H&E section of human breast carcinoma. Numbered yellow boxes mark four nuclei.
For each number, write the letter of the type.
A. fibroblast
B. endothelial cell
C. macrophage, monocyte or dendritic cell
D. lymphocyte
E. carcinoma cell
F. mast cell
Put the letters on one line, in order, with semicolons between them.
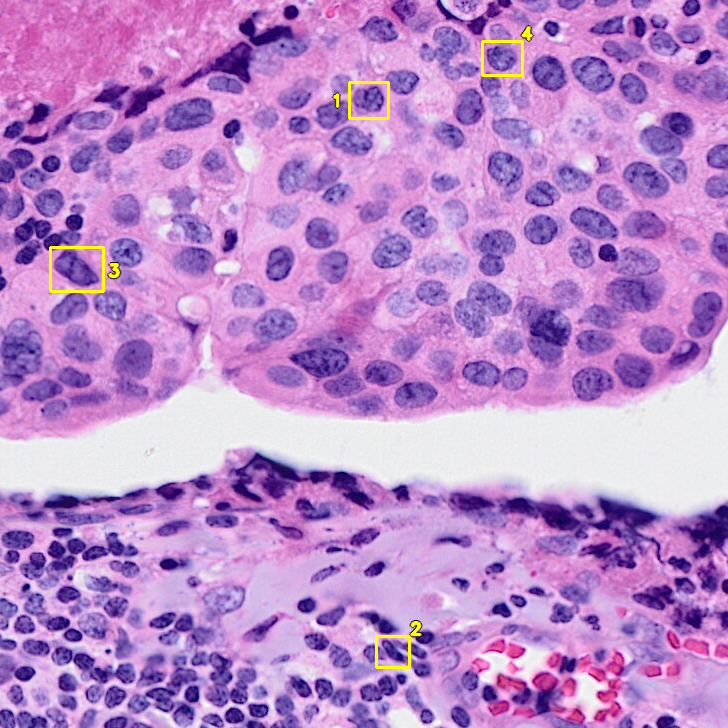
E; D; E; E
